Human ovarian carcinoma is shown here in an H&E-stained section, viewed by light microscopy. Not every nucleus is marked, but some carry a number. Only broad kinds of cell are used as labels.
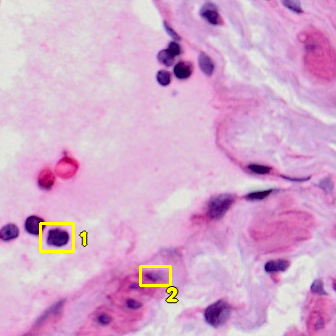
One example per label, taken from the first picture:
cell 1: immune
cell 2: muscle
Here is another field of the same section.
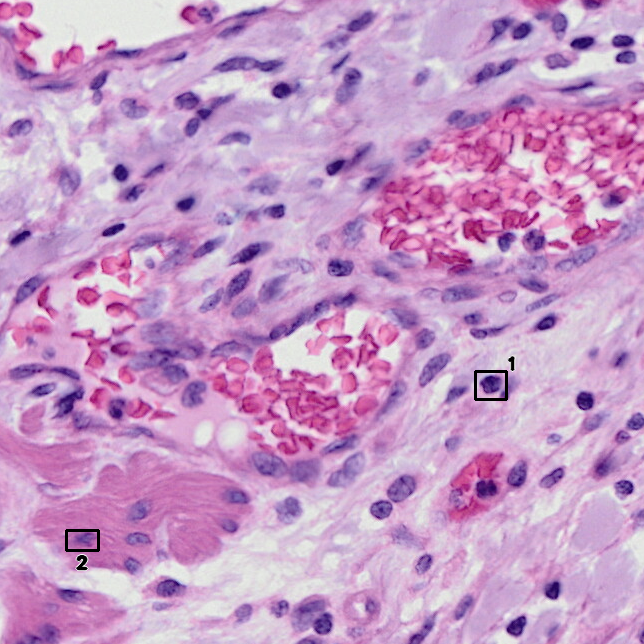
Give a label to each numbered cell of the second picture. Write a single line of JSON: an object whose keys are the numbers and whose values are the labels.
{"1": "immune", "2": "muscle"}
